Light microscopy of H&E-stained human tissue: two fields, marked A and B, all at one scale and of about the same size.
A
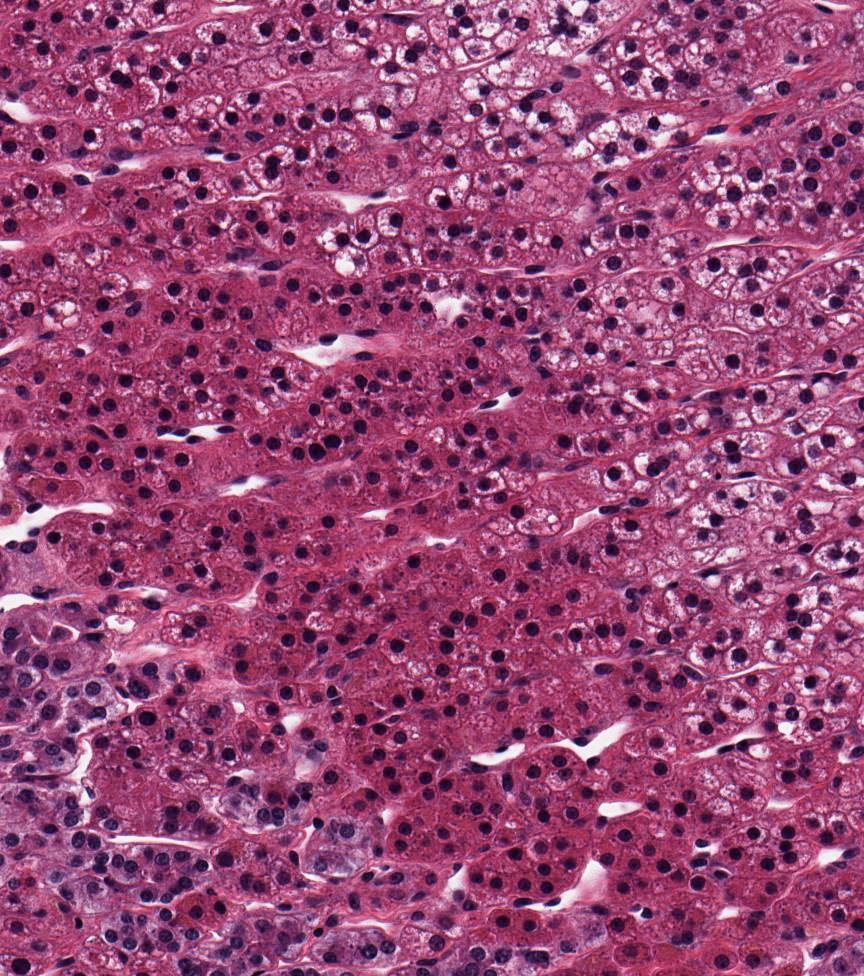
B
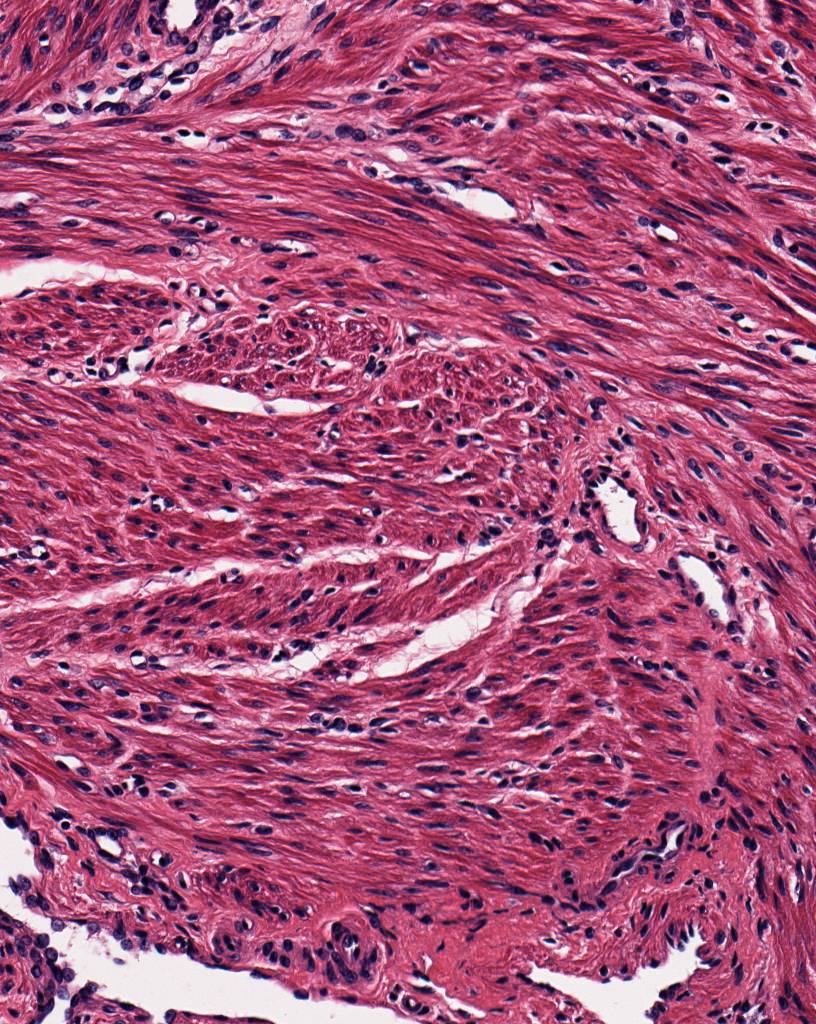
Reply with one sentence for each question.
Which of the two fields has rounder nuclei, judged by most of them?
It is field A whose nuclei are the rounder.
